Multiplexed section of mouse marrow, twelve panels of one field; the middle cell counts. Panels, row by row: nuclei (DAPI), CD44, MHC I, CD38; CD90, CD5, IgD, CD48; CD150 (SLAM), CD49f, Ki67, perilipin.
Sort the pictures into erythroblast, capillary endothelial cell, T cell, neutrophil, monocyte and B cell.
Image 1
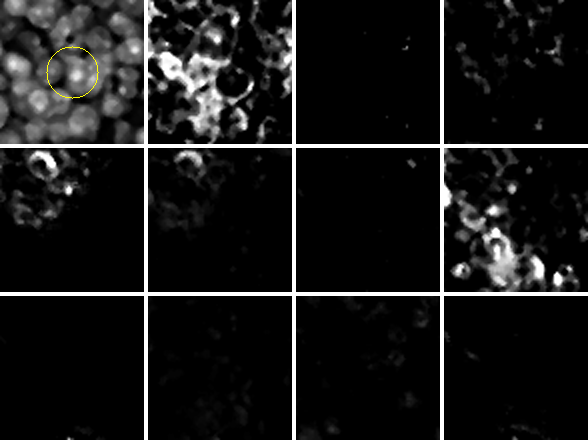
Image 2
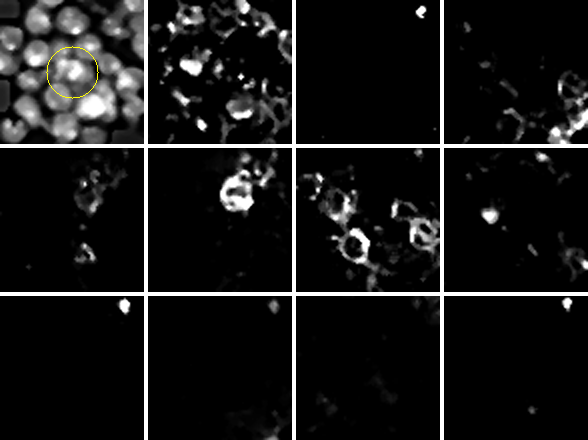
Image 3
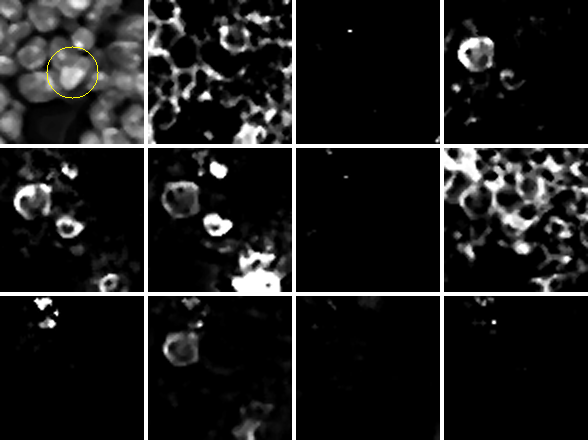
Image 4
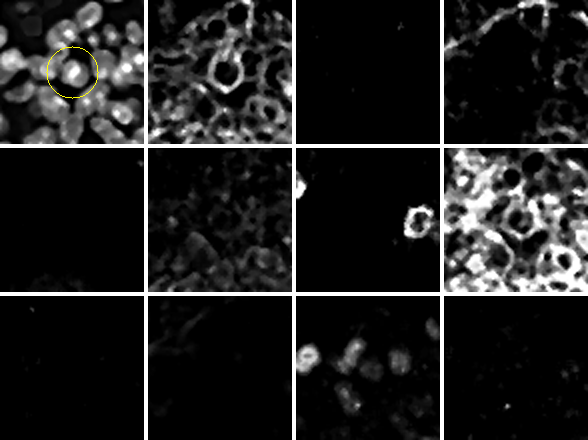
Erythroblasts: 1
Neutrophils: 2
T cells: 3
Monocytes: 4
